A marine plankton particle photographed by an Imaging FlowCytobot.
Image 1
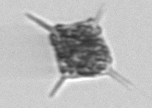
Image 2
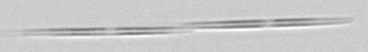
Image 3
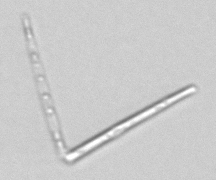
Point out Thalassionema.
That is picture 3.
